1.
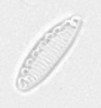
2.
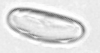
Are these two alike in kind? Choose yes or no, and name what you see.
No. First Nitzschia, second Achnanthidium.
